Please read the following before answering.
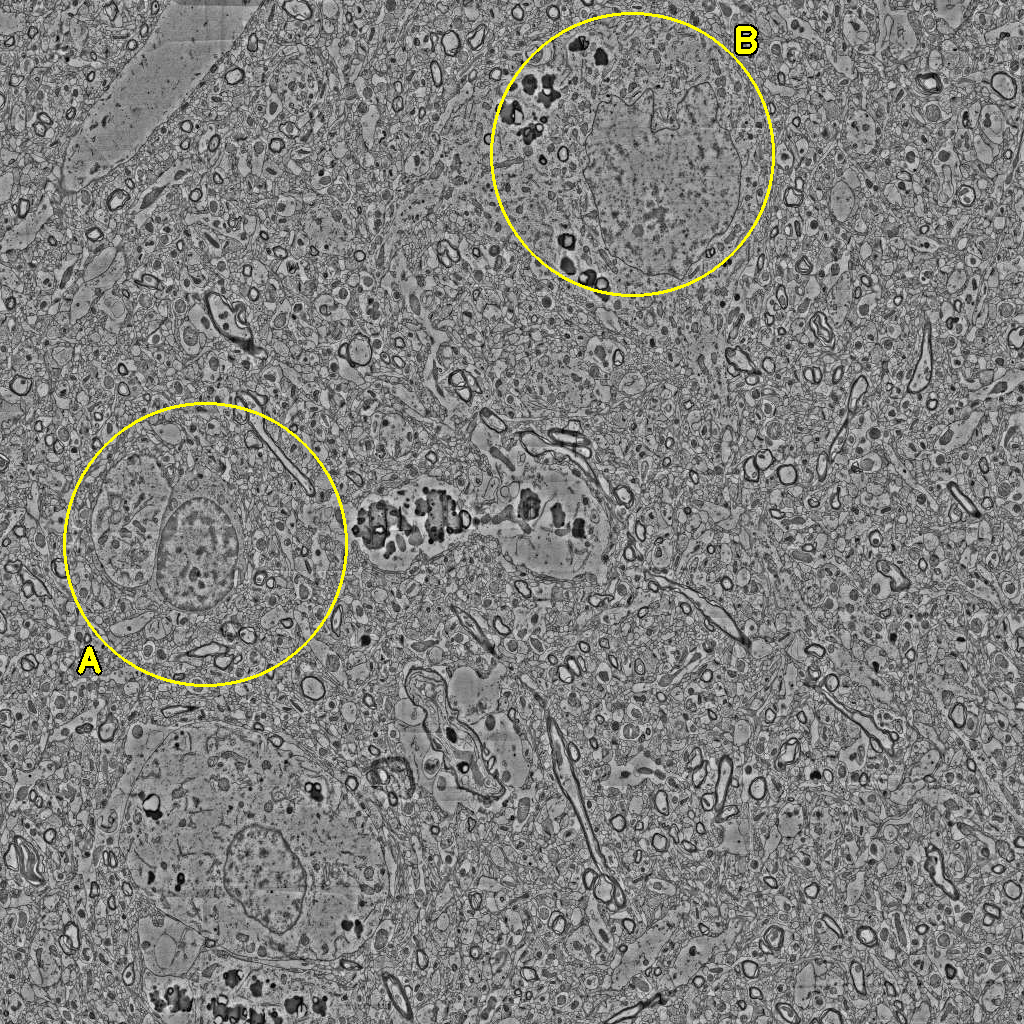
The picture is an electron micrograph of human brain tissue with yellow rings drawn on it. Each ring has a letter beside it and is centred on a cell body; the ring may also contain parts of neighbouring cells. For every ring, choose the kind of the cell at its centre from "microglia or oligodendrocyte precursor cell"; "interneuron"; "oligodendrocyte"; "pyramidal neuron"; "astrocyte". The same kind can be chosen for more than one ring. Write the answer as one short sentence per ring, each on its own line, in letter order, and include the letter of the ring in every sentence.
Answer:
The kind of cell at the centre of ring A is an oligodendrocyte.
The kind of cell at the centre of ring B is a pyramidal neuron.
